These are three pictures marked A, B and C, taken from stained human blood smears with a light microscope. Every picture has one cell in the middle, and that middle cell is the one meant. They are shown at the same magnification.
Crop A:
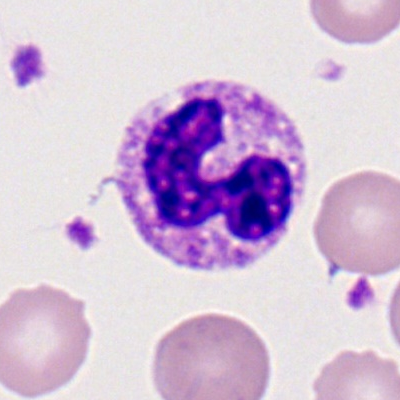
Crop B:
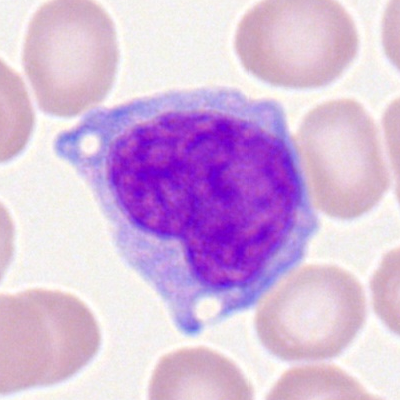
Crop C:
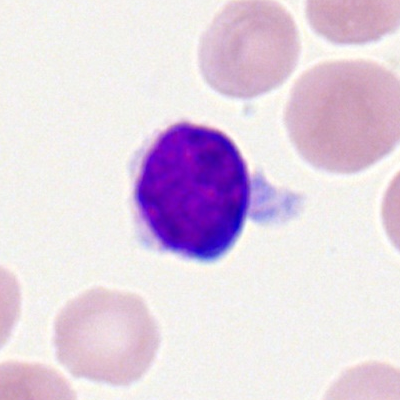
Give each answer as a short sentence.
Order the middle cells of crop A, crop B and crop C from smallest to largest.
Smallest first: C, A, B.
